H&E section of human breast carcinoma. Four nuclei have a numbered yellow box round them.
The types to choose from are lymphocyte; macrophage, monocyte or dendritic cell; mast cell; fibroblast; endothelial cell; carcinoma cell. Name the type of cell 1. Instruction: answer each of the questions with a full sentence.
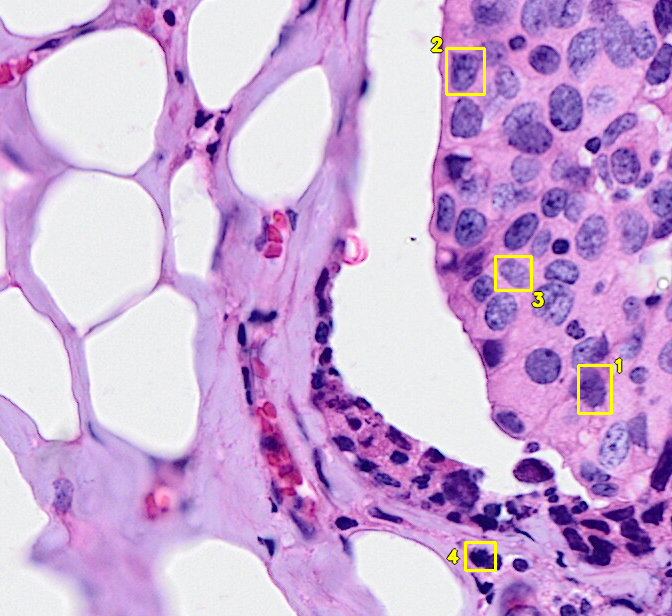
The expected answer is that cell 1 is a carcinoma cell.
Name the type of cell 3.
The cell referred to as 3 is a carcinoma cell.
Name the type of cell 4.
The cell referenced by the number 4 is a lymphocyte in this field.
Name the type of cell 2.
Cell 2 should be recorded as a carcinoma cell.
